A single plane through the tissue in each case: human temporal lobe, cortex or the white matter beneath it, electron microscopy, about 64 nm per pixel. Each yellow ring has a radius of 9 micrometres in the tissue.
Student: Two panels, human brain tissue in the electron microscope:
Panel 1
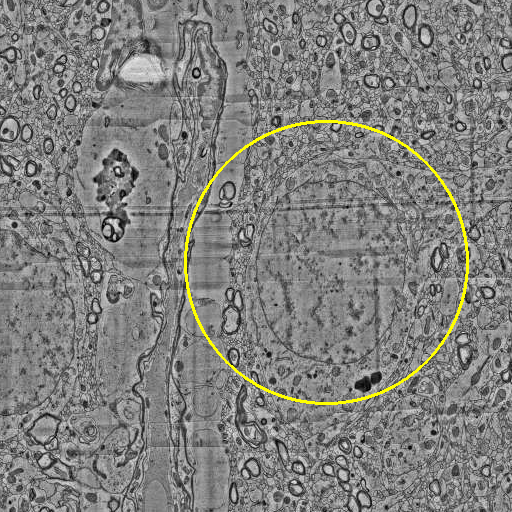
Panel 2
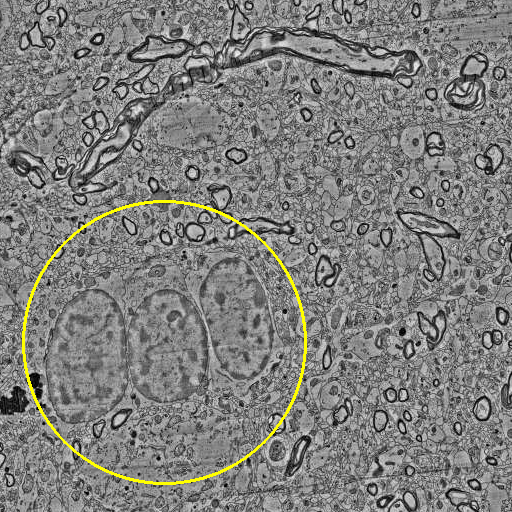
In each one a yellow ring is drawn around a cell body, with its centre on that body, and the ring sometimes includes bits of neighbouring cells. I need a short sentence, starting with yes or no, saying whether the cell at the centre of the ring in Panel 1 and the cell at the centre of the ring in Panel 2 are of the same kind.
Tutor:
No, they are two kinds of cell.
